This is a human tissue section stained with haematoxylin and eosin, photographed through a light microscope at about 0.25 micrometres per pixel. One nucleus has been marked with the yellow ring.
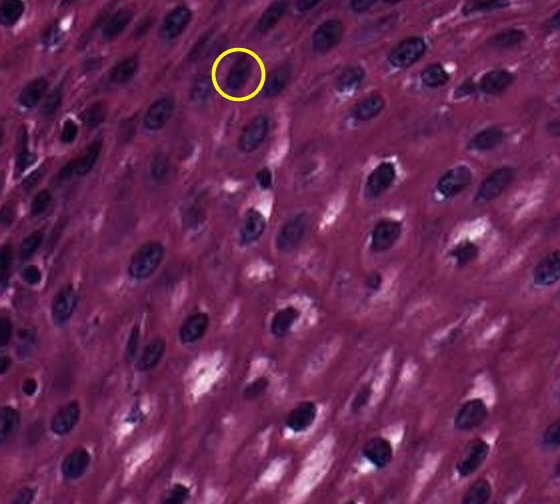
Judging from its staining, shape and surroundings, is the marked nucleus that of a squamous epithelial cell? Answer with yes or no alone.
yes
